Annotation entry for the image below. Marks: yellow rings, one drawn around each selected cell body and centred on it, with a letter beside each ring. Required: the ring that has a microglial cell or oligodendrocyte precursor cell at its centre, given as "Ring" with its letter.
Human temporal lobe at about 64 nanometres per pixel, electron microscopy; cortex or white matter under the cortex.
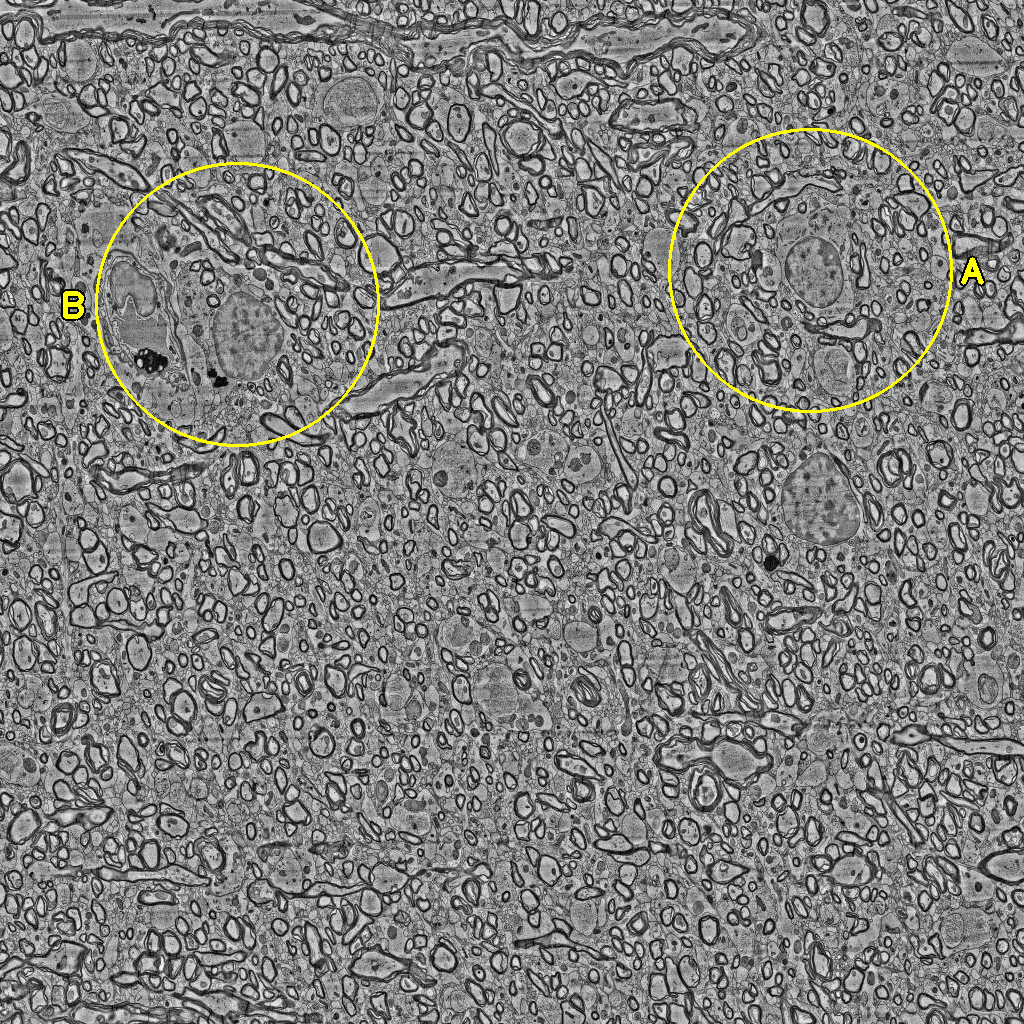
Ring A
